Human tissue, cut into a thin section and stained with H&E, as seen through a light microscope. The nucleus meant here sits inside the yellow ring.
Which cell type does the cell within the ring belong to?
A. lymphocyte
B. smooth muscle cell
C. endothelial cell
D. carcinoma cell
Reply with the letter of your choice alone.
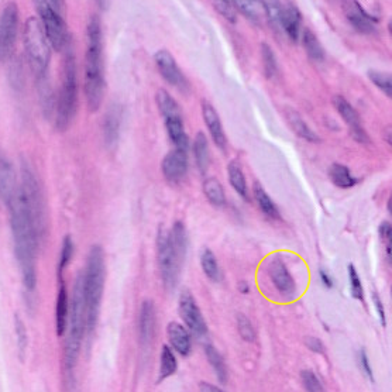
B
